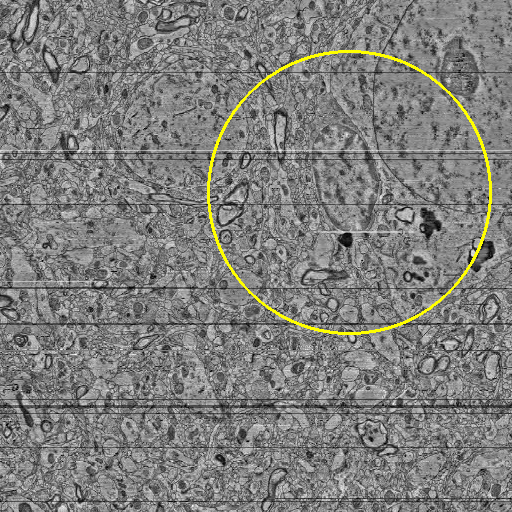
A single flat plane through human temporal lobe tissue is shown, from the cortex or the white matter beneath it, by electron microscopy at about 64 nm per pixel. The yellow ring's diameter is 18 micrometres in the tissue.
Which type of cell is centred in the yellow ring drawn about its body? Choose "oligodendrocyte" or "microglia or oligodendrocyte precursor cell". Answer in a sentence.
The yellow ring surrounds the cell body of an oligodendrocyte.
